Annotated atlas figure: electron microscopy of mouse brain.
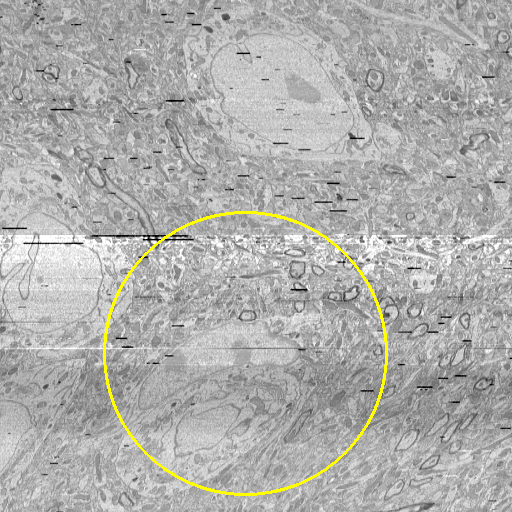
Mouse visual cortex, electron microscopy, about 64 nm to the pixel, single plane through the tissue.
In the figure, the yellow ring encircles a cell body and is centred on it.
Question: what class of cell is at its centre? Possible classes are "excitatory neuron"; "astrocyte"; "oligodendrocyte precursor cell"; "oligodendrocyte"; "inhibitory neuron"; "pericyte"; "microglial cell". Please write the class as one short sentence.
The yellow ring is drawn around an oligodendrocyte precursor cell.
